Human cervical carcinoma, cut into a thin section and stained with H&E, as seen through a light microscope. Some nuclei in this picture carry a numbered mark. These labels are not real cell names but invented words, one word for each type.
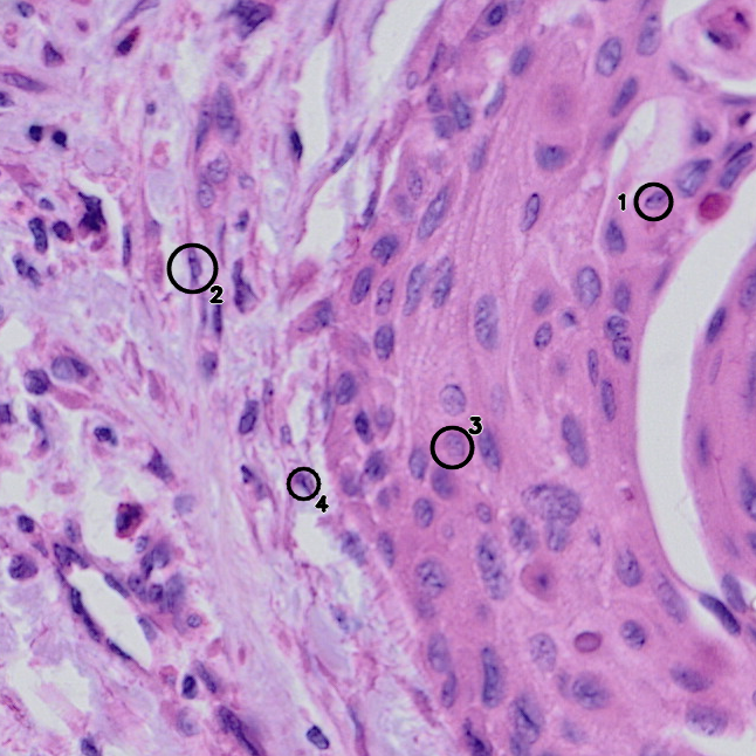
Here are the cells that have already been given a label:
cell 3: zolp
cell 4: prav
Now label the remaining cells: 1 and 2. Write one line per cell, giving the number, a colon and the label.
1: zolp
2: prav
